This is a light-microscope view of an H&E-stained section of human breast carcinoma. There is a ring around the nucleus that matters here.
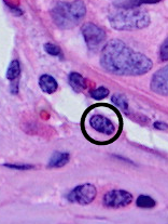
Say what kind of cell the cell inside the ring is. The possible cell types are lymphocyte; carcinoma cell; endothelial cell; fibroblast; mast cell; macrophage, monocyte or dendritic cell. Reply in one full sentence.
In this section of tissue, the cell inside the ring is a mast cell.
